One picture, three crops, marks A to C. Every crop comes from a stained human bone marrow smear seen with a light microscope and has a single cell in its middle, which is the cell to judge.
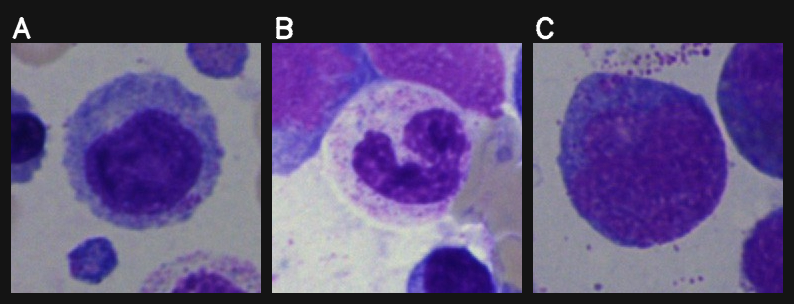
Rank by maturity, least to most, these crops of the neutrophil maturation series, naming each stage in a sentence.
The crops, when placed from least to most mature, read crop C (a promyelocyte), crop A (a myelocyte) and crop B (a segmented neutrophil).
